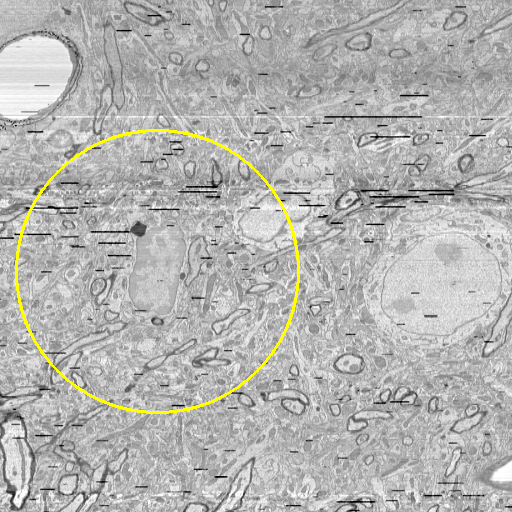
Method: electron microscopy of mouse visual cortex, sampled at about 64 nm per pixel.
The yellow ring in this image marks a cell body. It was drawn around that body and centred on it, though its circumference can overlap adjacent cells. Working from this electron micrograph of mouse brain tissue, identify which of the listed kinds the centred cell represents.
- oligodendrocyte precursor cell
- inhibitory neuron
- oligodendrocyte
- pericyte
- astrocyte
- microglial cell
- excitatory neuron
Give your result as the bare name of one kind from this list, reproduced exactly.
microglial cell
